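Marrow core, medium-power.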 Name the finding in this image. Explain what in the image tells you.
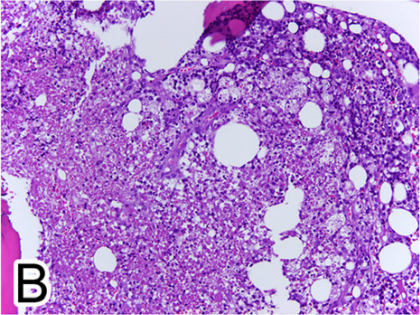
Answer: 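Large pale pink-purple areas with ghost-like cell outlines and few crisp nuclei. So: extensive coagulative necrosis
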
